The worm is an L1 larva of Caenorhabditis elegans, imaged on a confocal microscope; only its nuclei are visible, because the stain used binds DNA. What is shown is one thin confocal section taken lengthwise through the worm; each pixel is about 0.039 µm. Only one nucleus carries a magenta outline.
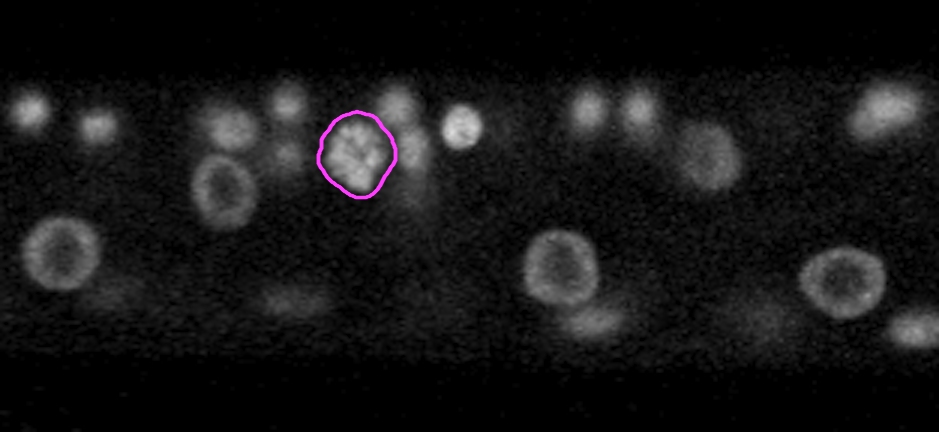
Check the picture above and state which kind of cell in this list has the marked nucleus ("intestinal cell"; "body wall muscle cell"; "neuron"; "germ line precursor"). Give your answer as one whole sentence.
The marked cell is a germ line precursor.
